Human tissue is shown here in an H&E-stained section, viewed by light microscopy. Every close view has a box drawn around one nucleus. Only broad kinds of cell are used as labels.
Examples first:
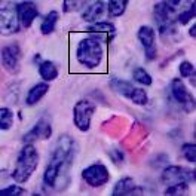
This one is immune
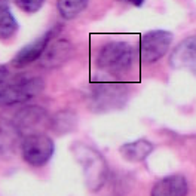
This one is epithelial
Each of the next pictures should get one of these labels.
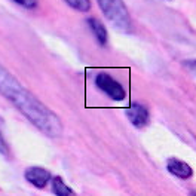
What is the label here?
immune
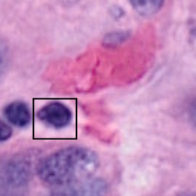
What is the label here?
immune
